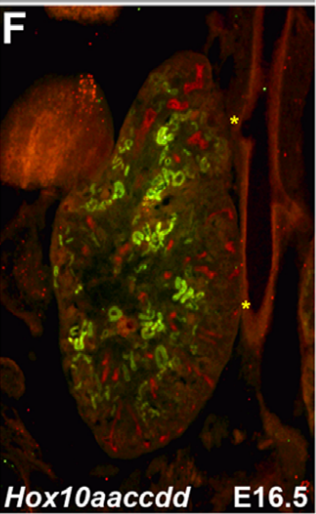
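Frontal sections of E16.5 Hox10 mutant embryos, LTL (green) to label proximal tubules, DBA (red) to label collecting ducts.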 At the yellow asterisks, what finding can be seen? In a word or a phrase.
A: Fusions to the body wall.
